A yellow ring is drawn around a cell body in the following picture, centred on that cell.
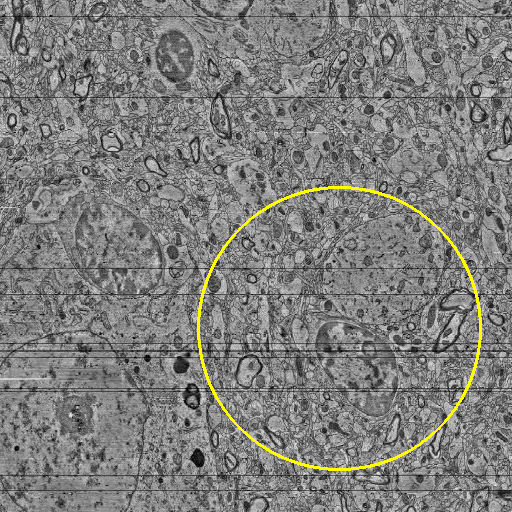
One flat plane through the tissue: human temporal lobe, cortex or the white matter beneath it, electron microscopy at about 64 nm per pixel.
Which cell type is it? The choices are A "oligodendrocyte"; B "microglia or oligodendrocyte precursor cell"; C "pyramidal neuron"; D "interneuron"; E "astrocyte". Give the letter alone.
B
